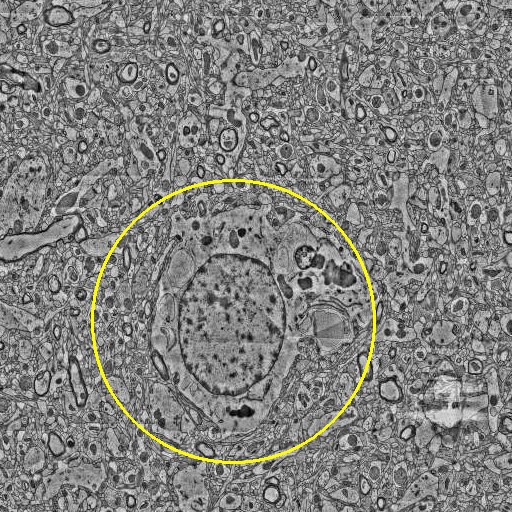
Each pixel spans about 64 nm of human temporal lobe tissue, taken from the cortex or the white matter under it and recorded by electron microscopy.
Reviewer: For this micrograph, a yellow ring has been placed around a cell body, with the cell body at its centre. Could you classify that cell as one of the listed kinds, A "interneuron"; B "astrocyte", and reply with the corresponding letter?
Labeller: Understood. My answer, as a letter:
B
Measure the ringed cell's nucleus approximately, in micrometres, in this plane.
About 9 by 7 micrometers, in this plane.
